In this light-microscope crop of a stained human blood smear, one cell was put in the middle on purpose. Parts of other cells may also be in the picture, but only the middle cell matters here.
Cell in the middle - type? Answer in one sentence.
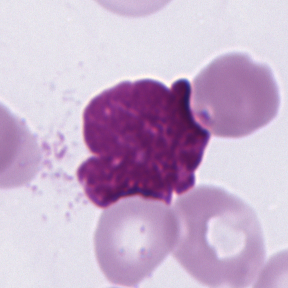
As for the central cell, it is a smudge cell.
